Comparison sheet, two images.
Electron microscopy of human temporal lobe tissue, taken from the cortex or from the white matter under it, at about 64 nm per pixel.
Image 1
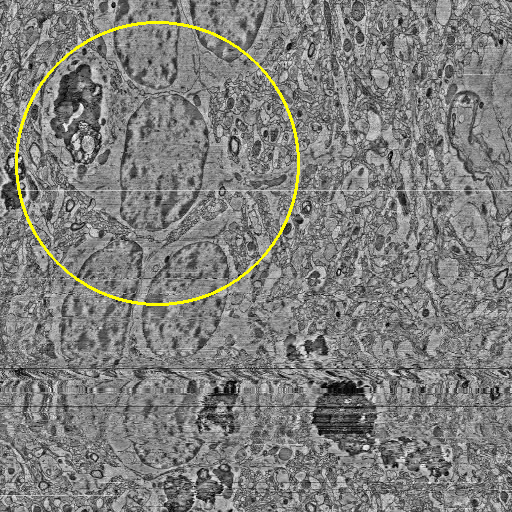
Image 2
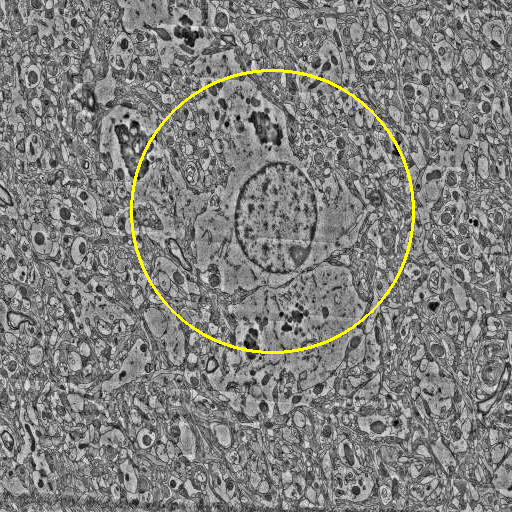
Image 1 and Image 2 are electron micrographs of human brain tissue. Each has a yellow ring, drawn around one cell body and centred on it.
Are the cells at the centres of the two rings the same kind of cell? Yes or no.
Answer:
yes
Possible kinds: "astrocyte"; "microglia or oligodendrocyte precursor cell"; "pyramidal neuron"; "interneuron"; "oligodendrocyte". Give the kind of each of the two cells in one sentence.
Each of the ringed cells, first and second, is an astrocyte.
